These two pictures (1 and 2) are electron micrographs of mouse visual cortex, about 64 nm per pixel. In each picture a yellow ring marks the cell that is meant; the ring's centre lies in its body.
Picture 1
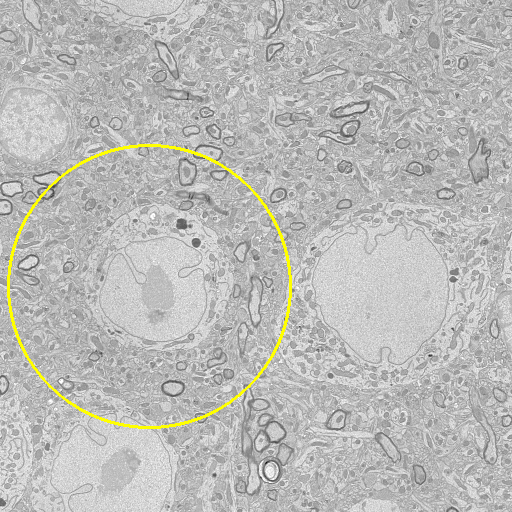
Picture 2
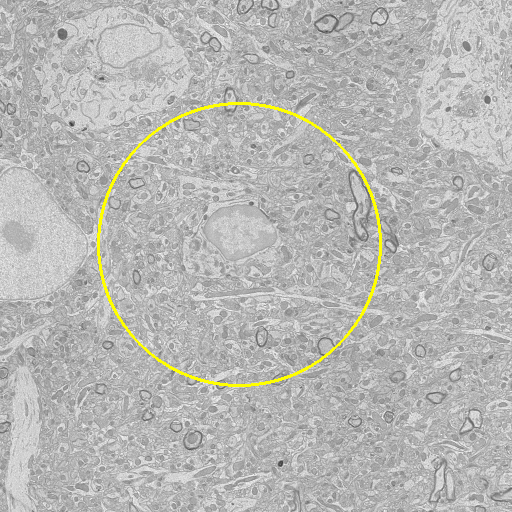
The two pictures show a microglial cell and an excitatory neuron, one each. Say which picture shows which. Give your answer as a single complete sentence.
In picture 1 the cell is an excitatory neuron; in picture 2, a microglial cell.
